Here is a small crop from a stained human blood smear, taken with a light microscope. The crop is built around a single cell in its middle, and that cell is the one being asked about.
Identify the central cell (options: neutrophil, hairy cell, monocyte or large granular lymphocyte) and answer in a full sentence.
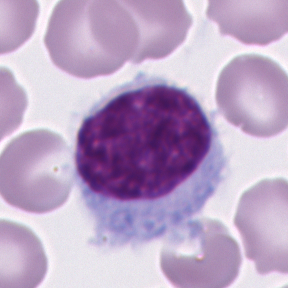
The cell of interest, located centrally, is a hairy cell.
